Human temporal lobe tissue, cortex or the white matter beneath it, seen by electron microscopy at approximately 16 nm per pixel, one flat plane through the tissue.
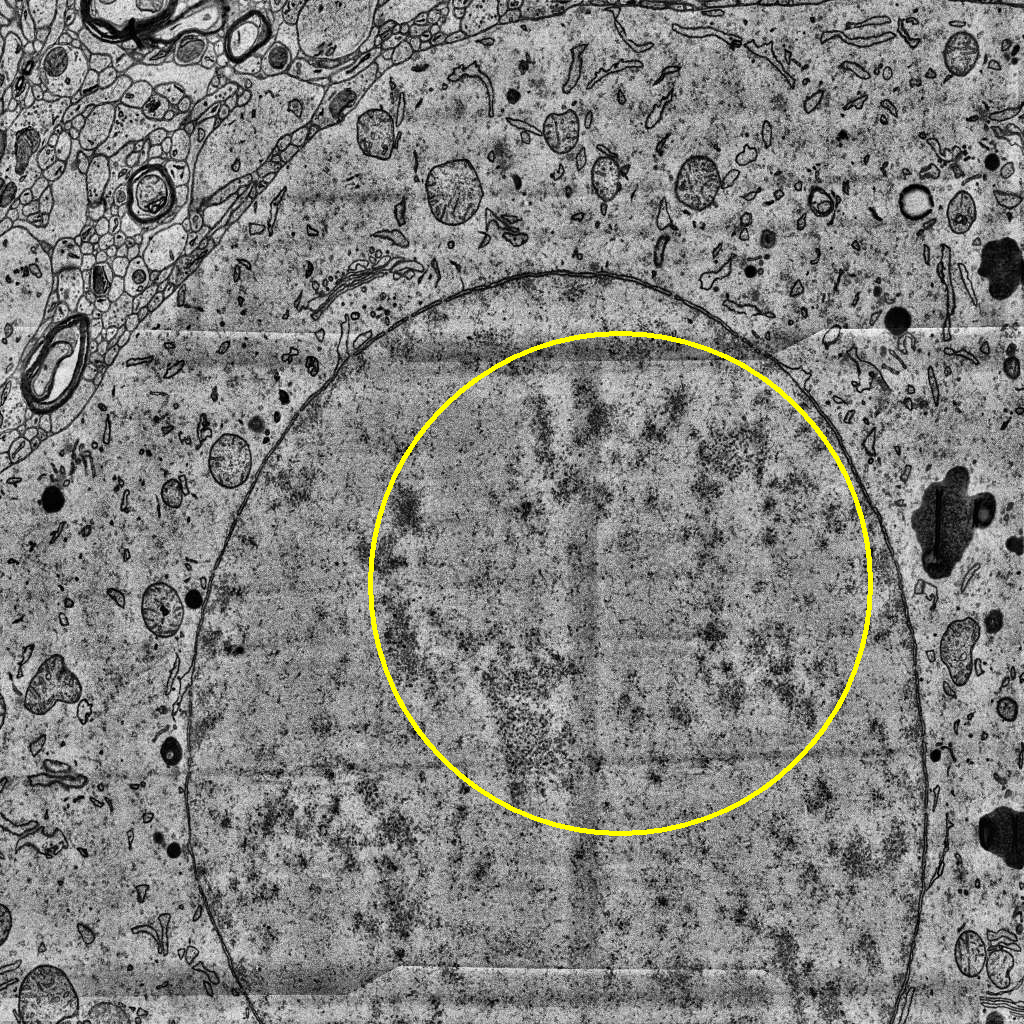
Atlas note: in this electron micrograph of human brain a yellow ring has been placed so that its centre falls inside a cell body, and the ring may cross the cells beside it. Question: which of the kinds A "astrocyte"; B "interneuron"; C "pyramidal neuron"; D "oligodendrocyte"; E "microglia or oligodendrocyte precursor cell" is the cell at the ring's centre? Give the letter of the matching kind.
C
